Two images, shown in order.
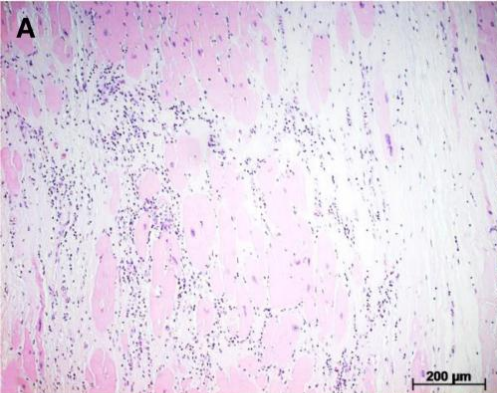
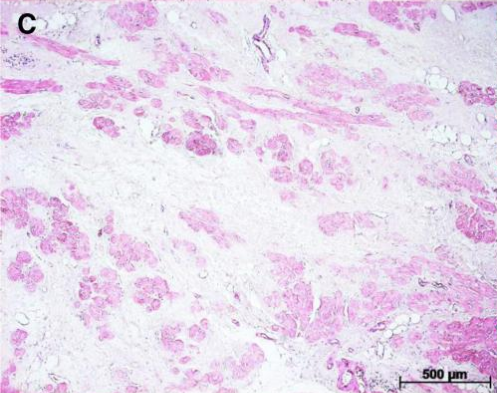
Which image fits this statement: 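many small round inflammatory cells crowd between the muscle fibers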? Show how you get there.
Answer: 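Second image: the pale fibrous tissue between muscle bundles holds few nuclei. First image: dense clusters of small dark round nuclei lie between the pink fibers.
The first image.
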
